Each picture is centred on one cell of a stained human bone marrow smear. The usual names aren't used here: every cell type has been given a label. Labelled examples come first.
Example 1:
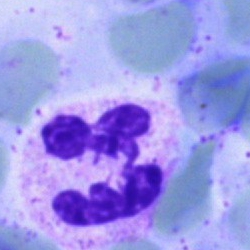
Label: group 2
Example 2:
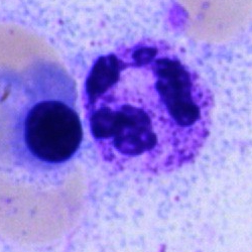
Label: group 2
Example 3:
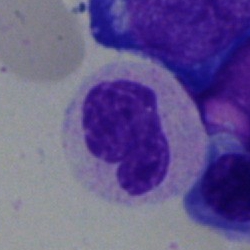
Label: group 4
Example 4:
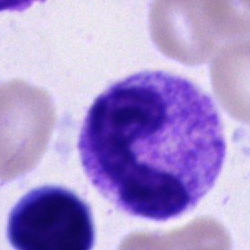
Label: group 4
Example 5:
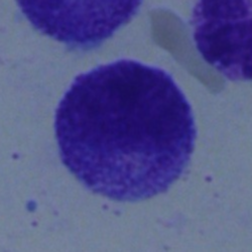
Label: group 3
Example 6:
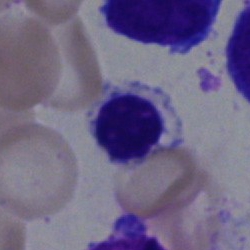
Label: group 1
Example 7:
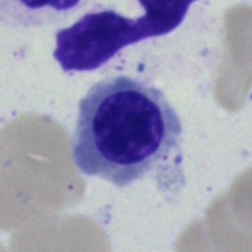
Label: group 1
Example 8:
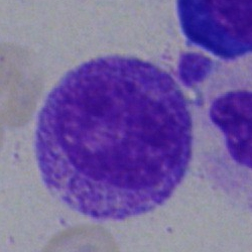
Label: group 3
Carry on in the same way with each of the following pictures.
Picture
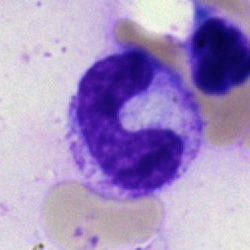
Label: group 4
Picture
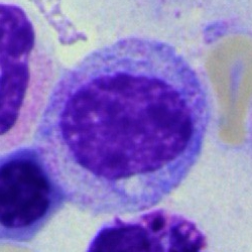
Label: group 3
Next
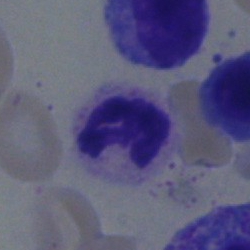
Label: group 2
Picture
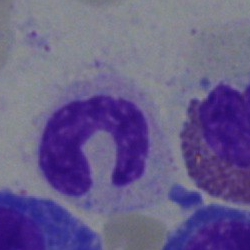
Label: group 4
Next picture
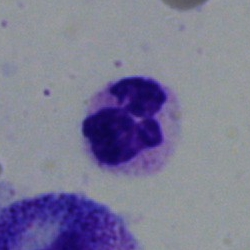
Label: group 2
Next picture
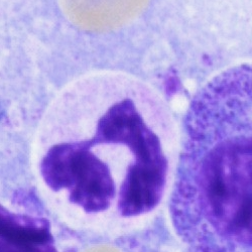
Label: group 2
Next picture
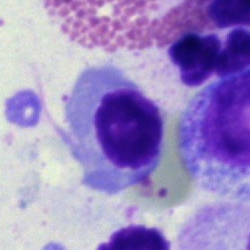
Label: group 1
